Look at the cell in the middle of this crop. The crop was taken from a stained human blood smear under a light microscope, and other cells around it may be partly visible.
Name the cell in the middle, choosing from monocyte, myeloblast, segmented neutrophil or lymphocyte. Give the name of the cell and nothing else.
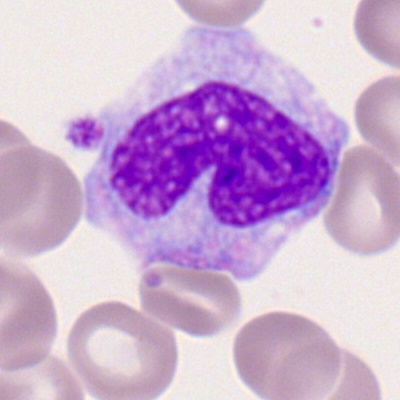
monocyte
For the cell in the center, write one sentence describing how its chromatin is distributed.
Chromatin texture is fine, and coarse clumps are absent.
